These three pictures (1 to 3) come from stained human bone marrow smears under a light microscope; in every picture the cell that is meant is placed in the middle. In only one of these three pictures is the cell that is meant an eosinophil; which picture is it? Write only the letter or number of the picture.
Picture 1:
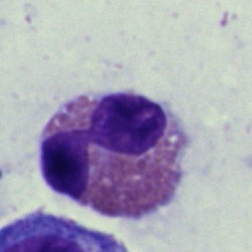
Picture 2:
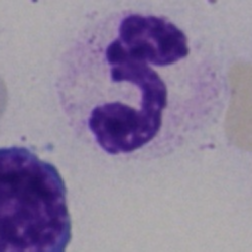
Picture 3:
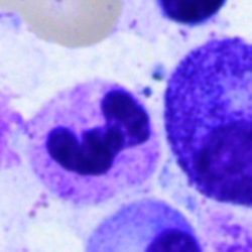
1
